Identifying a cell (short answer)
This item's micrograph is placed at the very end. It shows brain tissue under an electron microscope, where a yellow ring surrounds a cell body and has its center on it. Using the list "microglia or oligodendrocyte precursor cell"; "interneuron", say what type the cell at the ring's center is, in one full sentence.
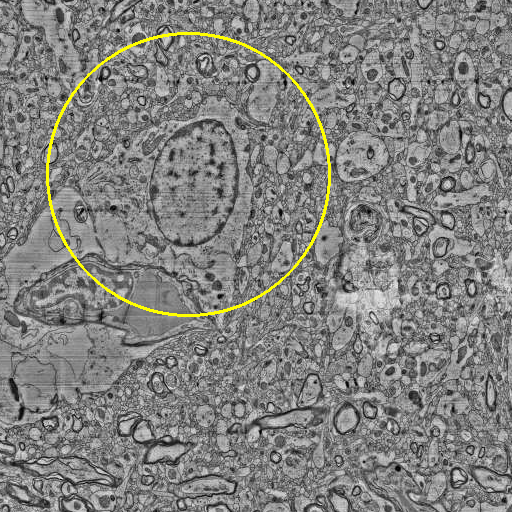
This picture shows a microglial cell or oligodendrocyte precursor cell at the center of the yellow ring drawn on it.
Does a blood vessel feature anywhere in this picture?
Yes, a blood vessel shows in the picture.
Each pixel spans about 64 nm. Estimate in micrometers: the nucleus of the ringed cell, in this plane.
The nucleus has a long axis of about 8 micrometres and a short axis of about 6 micrometres in this plane.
